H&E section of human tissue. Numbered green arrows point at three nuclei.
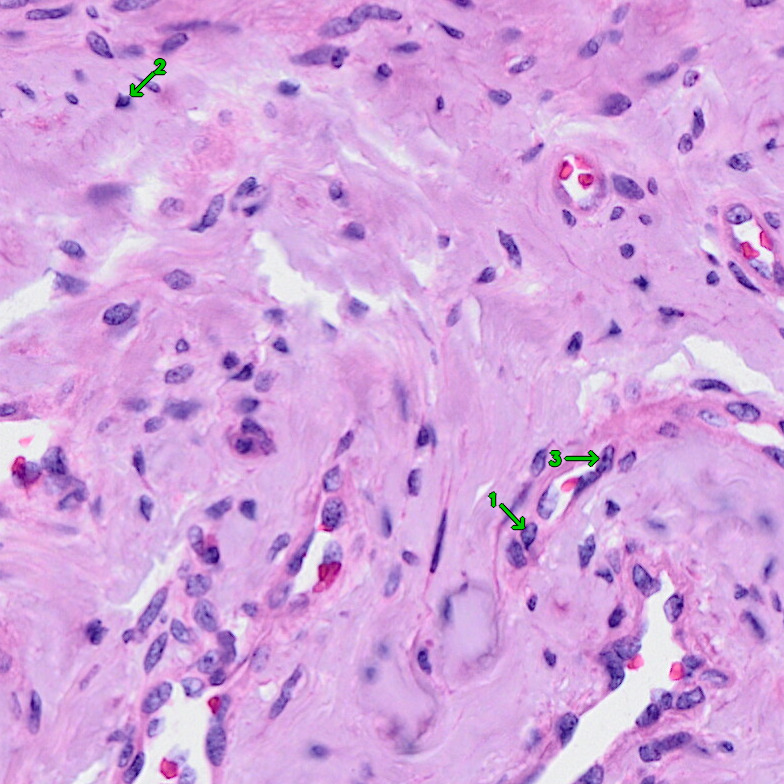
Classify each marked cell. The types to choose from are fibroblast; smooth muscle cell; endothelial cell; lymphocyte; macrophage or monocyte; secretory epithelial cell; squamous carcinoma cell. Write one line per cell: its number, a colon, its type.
1: endothelial cell
2: fibroblast
3: endothelial cell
